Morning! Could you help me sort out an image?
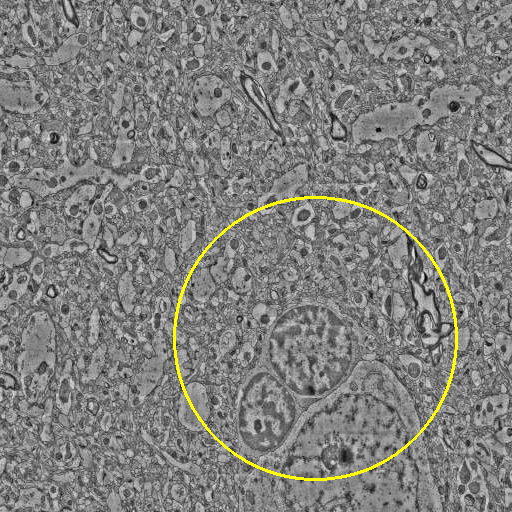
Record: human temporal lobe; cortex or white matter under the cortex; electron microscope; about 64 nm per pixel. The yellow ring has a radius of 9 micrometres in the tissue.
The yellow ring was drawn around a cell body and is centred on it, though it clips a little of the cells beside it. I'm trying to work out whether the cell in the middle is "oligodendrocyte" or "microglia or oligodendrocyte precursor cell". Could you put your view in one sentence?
The ringed cell body is that of an oligodendrocyte.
